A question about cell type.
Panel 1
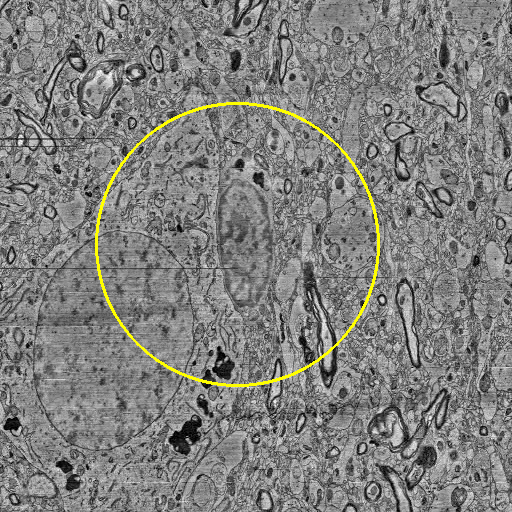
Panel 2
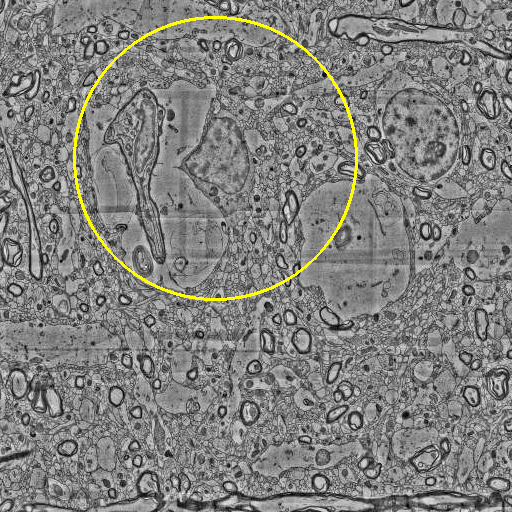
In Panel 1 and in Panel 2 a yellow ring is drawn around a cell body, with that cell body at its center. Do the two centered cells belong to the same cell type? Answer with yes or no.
yes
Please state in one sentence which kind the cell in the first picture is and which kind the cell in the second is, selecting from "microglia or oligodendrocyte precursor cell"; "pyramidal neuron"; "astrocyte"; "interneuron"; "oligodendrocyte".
Each of the two rings is centred on an oligodendrocyte.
